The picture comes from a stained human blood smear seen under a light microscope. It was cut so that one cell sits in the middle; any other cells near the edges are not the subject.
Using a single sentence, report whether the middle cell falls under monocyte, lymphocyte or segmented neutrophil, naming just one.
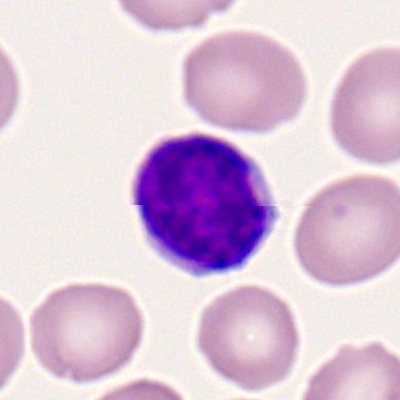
In short, the cell at the center is a lymphocyte.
